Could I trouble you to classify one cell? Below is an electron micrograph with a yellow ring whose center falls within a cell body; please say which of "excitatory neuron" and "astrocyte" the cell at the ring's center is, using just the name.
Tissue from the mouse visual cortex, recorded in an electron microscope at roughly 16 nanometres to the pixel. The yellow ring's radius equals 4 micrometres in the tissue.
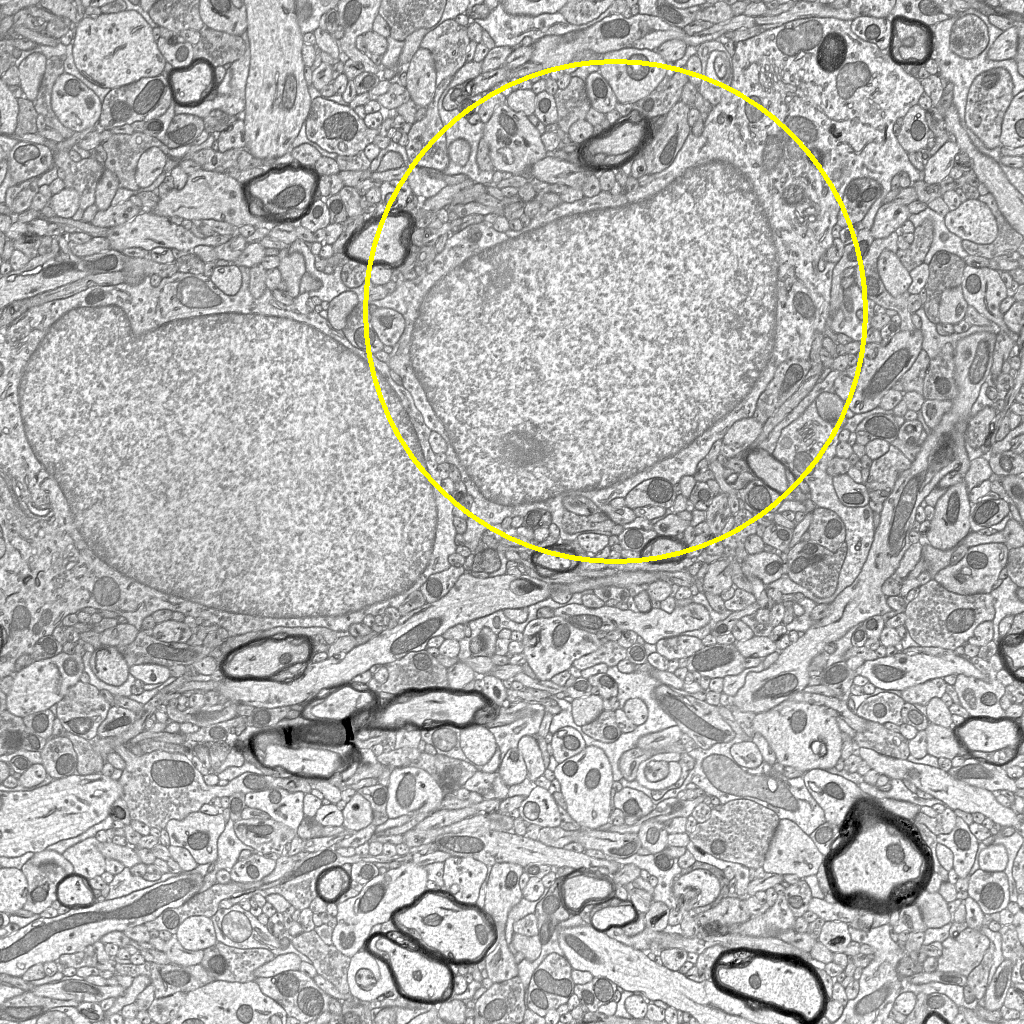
astrocyte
